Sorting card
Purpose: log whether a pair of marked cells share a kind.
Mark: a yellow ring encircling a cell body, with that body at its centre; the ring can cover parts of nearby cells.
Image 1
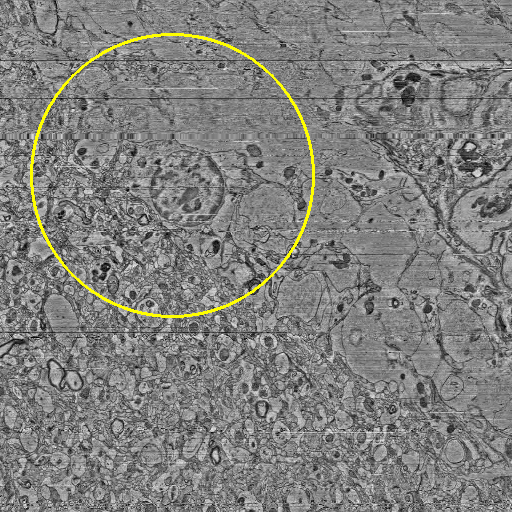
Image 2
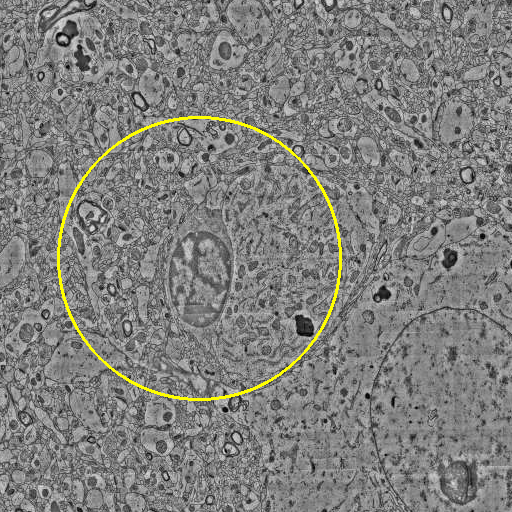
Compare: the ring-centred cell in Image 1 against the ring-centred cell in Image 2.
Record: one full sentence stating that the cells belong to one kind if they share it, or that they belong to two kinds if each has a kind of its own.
Across Images 1 and 2, the two ring-centred cells belong to one kind.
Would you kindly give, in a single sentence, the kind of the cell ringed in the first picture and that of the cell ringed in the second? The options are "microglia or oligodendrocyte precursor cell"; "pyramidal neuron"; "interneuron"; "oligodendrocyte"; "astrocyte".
Each of the two pictures has an oligodendrocyte at the ring centre.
